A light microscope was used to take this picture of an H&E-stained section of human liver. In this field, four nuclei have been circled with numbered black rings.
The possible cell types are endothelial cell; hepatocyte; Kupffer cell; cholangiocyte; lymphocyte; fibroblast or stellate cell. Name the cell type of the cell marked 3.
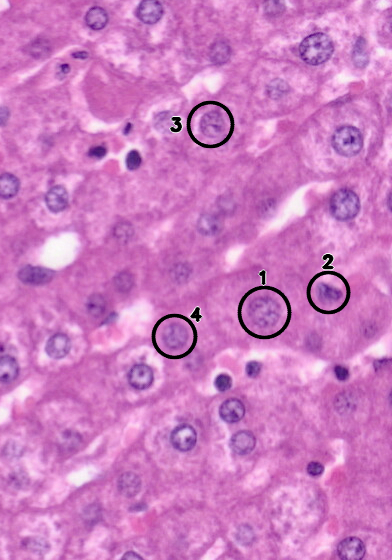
hepatocyte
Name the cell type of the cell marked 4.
hepatocyte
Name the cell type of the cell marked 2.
endothelial cell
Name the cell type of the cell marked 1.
hepatocyte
